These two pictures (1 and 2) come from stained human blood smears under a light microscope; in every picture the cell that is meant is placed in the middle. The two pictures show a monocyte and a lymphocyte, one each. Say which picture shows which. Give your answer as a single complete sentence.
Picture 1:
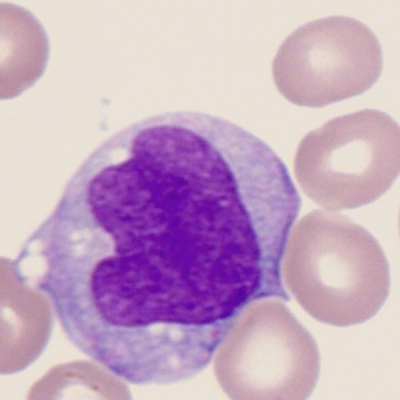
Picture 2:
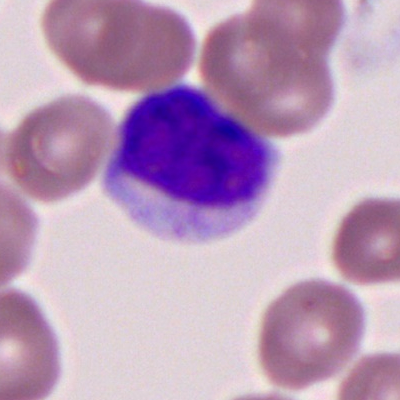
Picture 1 is of a monocyte, and picture 2 is of a lymphocyte.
